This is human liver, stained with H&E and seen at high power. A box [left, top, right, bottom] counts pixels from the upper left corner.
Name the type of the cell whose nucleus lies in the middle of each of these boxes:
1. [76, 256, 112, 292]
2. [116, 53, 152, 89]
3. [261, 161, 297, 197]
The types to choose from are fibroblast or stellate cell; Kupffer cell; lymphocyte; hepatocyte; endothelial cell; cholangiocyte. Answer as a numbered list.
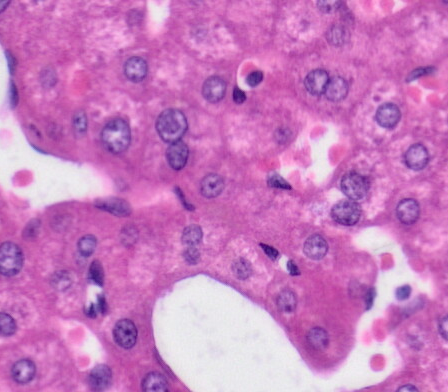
1. fibroblast or stellate cell
2. hepatocyte
3. endothelial cell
